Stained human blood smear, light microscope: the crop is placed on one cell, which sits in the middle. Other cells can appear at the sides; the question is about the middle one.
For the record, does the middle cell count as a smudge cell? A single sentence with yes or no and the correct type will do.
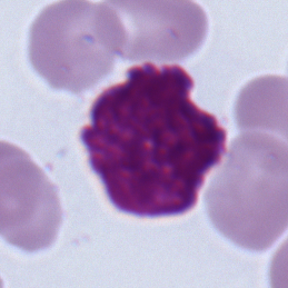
Yes, the cell at the very centre of the crop is a smudge cell.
